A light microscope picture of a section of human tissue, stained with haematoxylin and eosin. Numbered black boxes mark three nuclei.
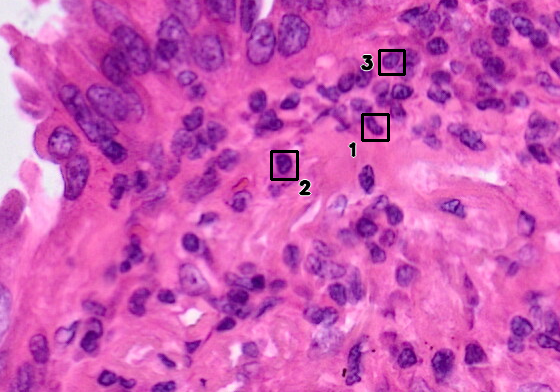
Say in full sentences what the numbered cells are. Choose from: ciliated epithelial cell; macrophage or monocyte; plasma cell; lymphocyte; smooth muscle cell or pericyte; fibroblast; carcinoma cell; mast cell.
Cells 1 and 3 are lymphocytes. Cell 2 is a plasma cell.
